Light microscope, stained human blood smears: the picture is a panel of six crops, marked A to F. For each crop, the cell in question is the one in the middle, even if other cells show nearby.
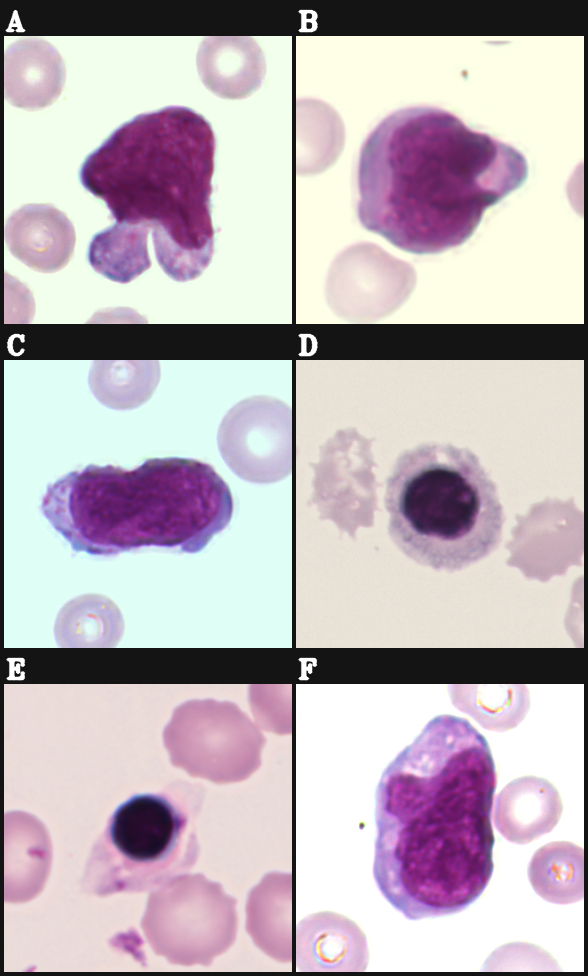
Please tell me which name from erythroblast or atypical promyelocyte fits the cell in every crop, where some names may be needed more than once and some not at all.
A: atypical promyelocyte
B: atypical promyelocyte
C: atypical promyelocyte
D: erythroblast
E: erythroblast
F: atypical promyelocyte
